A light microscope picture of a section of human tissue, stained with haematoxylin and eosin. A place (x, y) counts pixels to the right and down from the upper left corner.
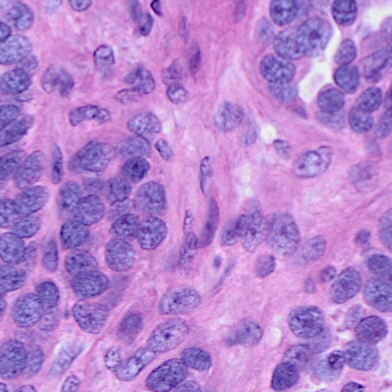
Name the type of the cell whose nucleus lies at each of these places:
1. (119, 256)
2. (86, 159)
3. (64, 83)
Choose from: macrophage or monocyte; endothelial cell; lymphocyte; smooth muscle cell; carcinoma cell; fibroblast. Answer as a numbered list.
1. carcinoma cell
2. carcinoma cell
3. fibroblast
